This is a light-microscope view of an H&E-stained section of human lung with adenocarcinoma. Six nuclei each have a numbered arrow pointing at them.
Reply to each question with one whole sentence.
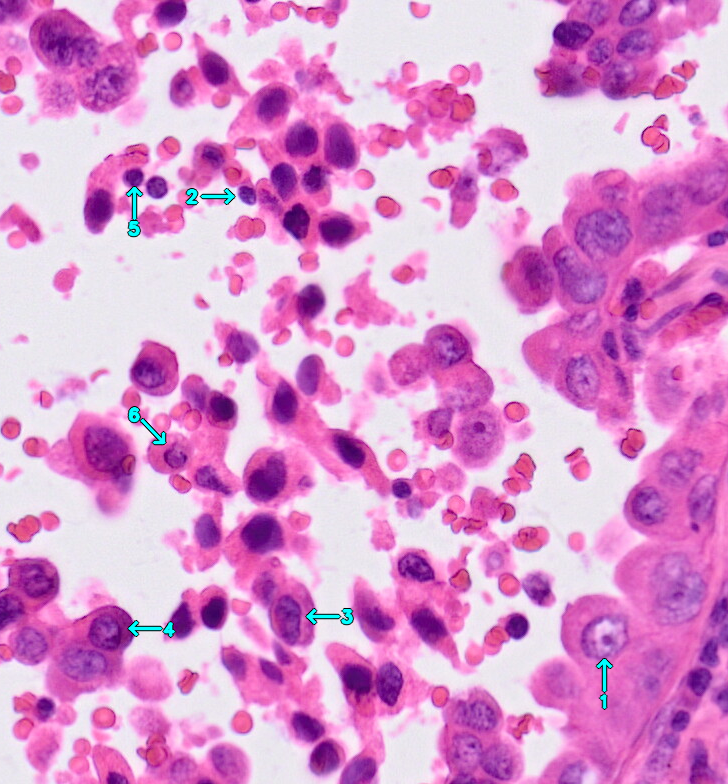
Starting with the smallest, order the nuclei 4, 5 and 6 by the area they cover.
By area, going up from the smallest, they rank 5, 6, 4.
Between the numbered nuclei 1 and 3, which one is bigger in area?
Nucleus 1 is larger, with an area about 1.5 times that of nucleus 3.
